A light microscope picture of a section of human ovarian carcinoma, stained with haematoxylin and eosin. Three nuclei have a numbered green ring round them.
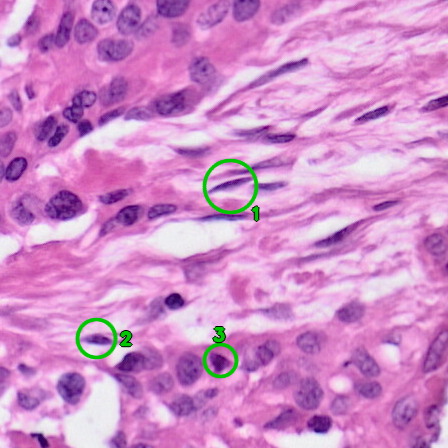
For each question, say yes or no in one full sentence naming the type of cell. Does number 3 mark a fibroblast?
No, instead of a fibroblast, the cell with number 3 is a carcinoma cell.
